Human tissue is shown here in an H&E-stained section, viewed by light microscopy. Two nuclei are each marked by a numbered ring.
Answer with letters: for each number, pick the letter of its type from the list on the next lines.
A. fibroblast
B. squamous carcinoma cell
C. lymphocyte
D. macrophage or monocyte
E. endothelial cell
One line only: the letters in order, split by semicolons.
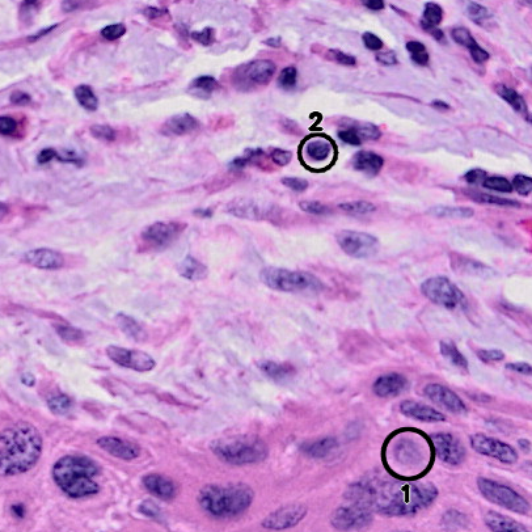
B; C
